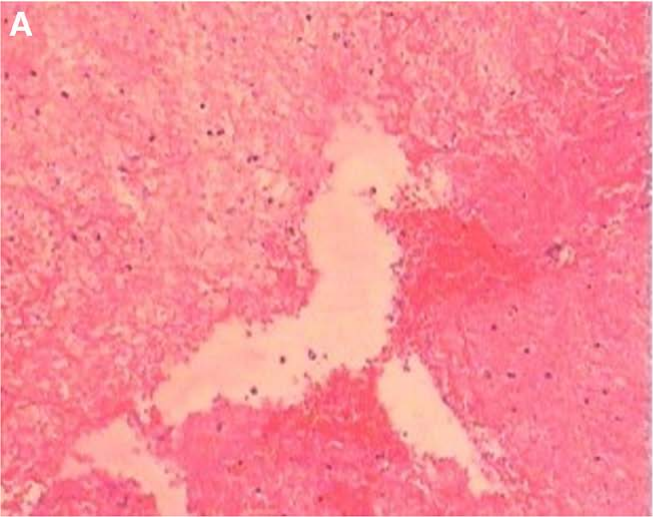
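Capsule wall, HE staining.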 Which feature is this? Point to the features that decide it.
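Blood clots. Patches of densely packed, bright red material stand out against the paler pink background. Only sparse scattered nuclei lie within the pink material.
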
